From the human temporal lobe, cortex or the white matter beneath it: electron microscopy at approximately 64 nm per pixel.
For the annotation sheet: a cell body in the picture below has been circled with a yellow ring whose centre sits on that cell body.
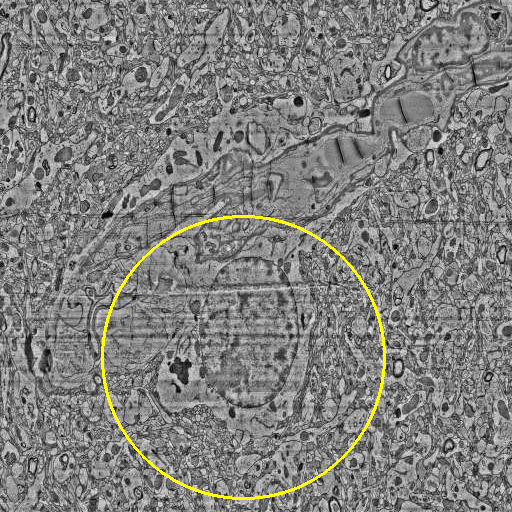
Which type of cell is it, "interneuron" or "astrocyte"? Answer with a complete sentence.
The circled cell is an astrocyte.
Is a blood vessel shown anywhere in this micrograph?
Yes, a blood vessel can be seen.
